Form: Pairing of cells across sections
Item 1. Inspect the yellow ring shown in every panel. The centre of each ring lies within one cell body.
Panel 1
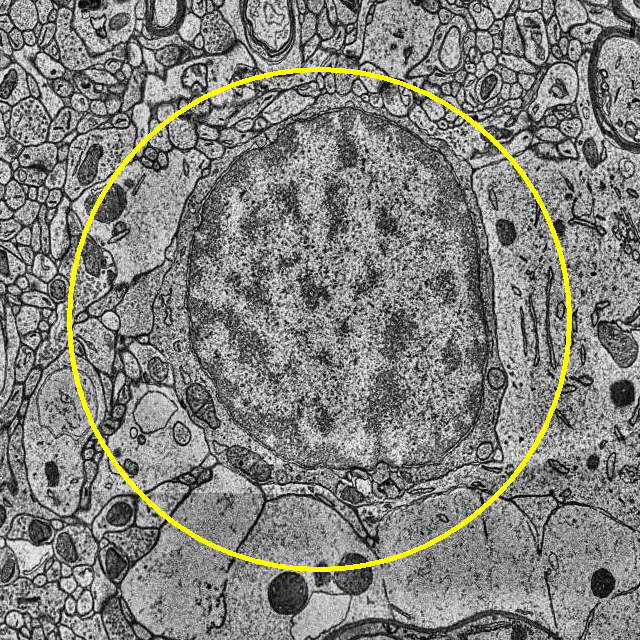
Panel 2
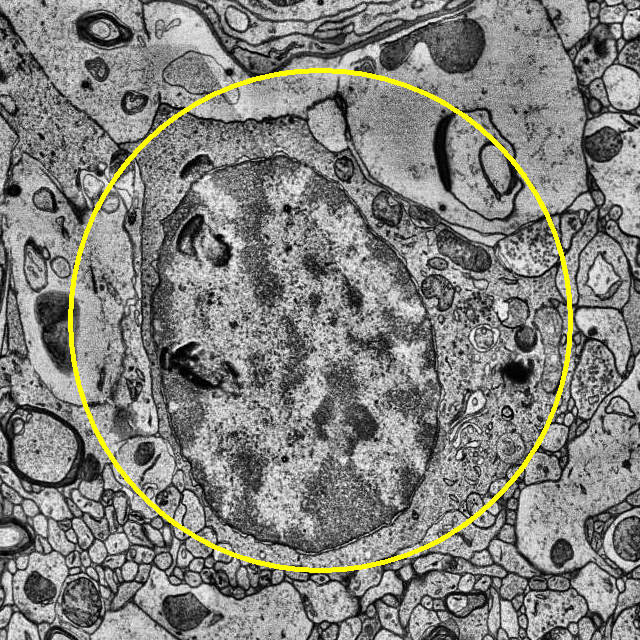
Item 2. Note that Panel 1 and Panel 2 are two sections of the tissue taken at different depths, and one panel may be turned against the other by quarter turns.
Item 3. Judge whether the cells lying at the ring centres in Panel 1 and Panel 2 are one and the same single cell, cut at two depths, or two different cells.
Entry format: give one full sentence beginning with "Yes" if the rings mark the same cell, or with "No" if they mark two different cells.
Yes, one cell is ringed in yellow twice over.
